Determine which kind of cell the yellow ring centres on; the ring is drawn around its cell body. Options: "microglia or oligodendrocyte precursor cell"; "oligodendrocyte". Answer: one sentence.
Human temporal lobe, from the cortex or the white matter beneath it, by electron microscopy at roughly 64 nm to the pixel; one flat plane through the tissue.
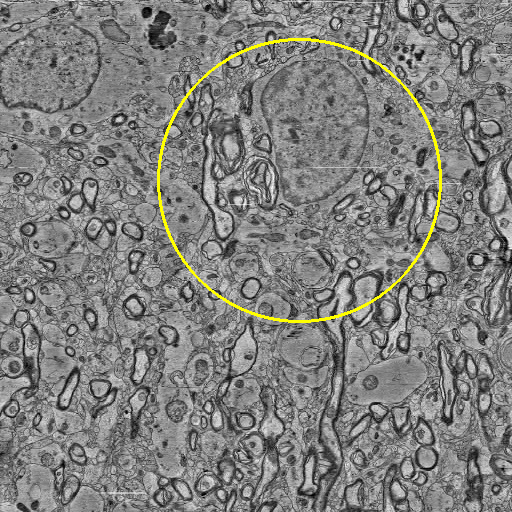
The ring centres on an oligodendrocyte.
